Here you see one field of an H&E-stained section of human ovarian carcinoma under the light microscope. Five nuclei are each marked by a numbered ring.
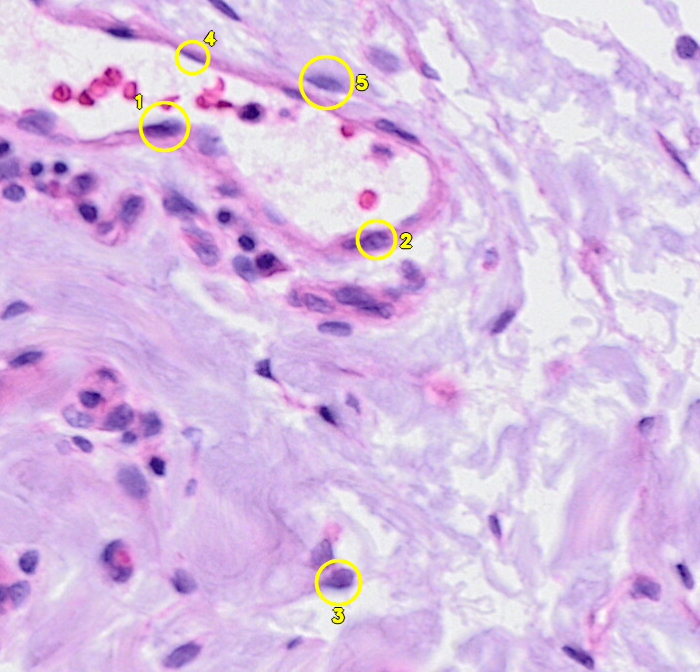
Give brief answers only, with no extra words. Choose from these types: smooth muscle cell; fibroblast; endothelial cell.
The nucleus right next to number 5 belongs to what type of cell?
endothelial cell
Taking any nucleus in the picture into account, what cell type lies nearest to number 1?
endothelial cell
